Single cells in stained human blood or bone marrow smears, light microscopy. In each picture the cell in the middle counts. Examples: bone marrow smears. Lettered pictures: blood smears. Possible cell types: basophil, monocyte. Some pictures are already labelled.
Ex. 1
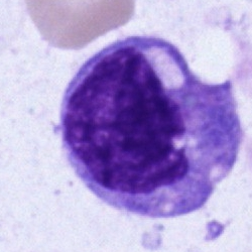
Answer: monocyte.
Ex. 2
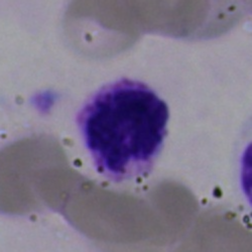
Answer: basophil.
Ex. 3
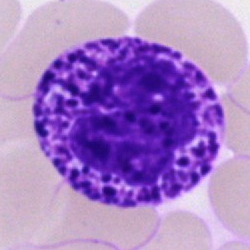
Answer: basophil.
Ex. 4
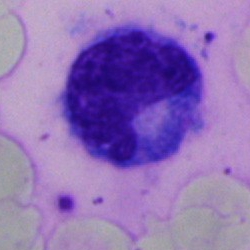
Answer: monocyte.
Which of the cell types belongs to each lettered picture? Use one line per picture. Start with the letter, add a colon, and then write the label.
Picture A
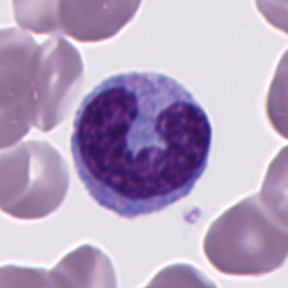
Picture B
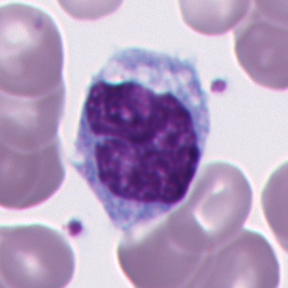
A: monocyte.
B: monocyte.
